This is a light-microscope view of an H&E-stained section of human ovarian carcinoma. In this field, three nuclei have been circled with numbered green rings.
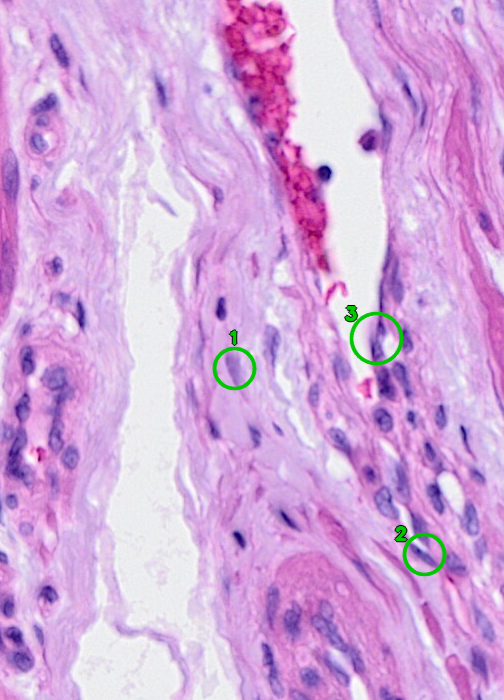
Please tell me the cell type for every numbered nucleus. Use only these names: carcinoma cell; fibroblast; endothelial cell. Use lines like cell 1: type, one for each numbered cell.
cell 1: fibroblast
cell 2: endothelial cell
cell 3: endothelial cell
